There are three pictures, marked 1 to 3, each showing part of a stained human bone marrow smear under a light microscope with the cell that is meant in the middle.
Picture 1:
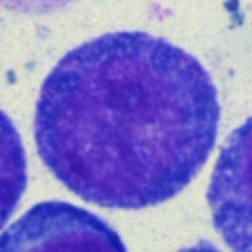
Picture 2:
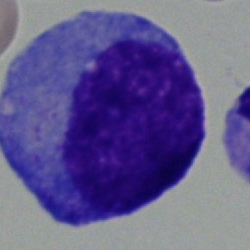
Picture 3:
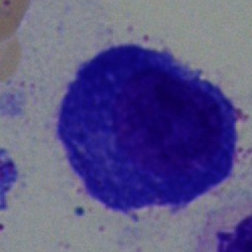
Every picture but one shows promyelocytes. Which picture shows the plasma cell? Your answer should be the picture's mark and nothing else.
3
